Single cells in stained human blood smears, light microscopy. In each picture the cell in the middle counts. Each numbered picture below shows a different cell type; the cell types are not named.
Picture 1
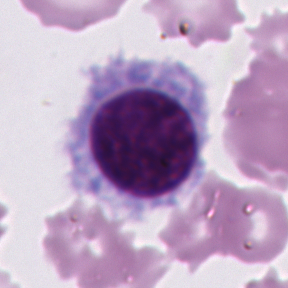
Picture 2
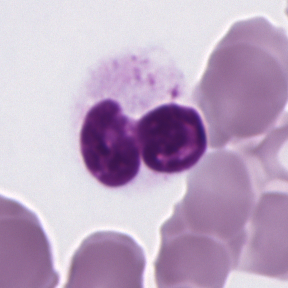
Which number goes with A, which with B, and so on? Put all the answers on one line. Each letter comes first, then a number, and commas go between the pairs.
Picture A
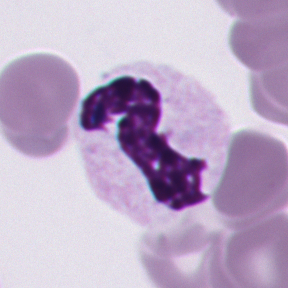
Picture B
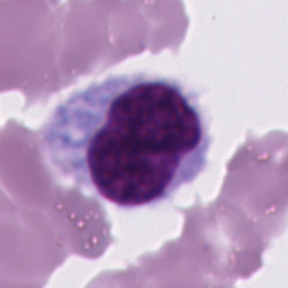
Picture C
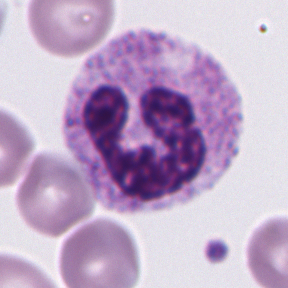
A 2, B 1, C 2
